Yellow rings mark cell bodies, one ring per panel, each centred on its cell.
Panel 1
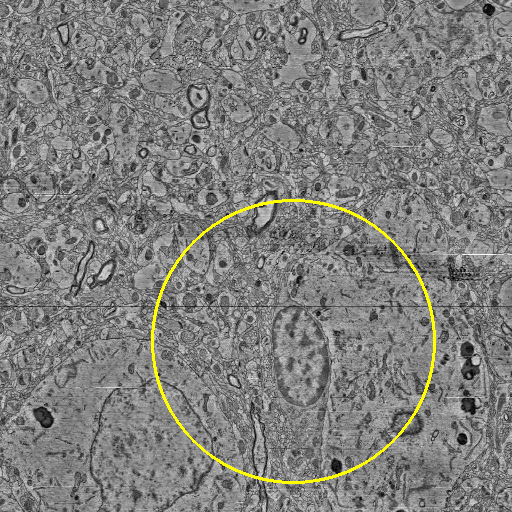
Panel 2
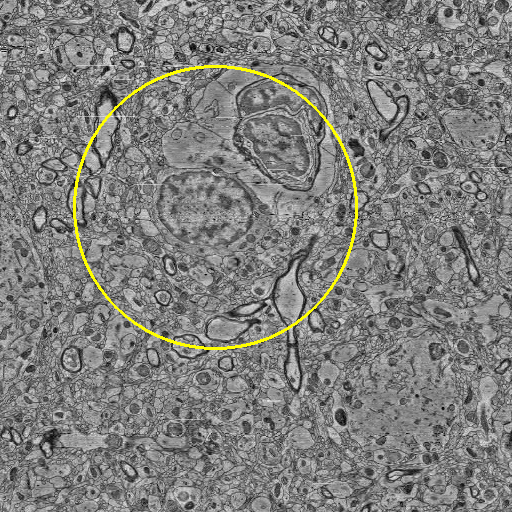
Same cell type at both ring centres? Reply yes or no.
yes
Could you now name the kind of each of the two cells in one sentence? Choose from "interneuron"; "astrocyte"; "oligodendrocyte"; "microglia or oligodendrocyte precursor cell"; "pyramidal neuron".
Each cell, in the first picture and the second, is an oligodendrocyte.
